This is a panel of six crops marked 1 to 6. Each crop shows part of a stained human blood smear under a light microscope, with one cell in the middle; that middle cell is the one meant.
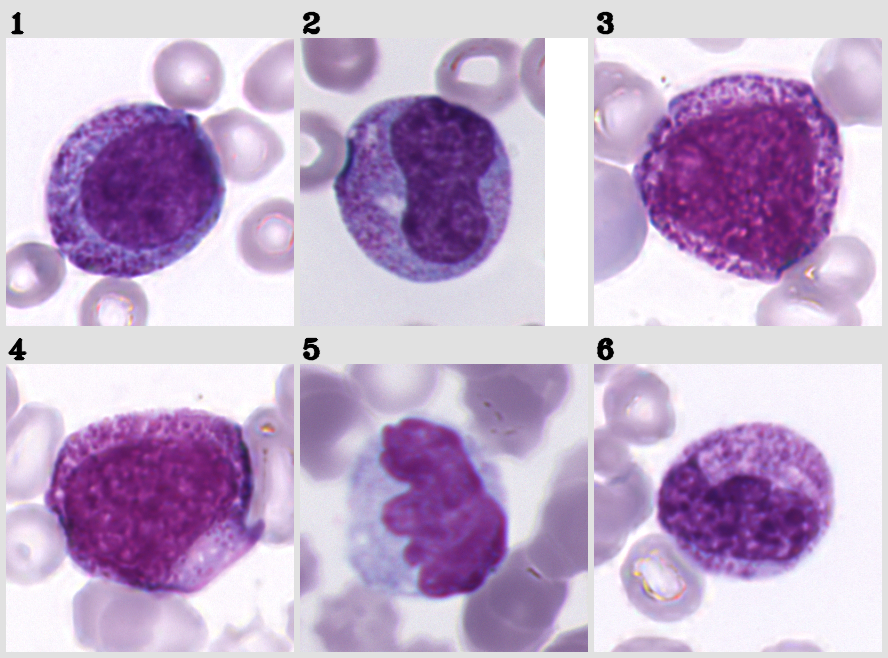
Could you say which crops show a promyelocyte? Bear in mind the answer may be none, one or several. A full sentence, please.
Crops 1, 2, 3 and 4 are identified as showing promyelocytes.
